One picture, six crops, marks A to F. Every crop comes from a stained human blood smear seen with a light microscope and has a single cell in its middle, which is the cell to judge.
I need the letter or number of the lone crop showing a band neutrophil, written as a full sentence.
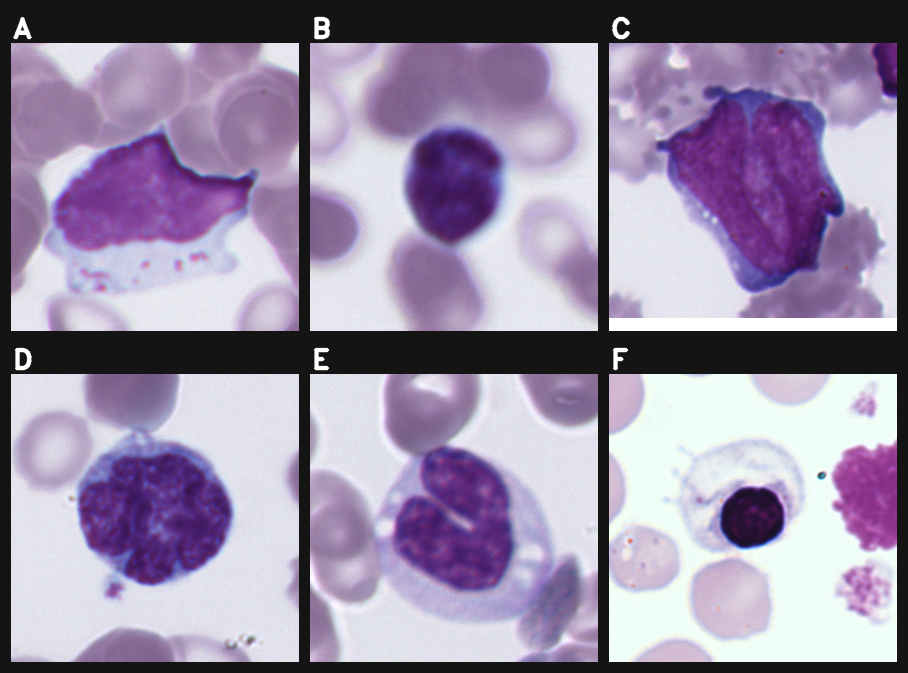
Crop E is identified as the crop showing a band neutrophil.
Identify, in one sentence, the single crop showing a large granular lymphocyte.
The correct choice is crop A, the one showing a large granular lymphocyte.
